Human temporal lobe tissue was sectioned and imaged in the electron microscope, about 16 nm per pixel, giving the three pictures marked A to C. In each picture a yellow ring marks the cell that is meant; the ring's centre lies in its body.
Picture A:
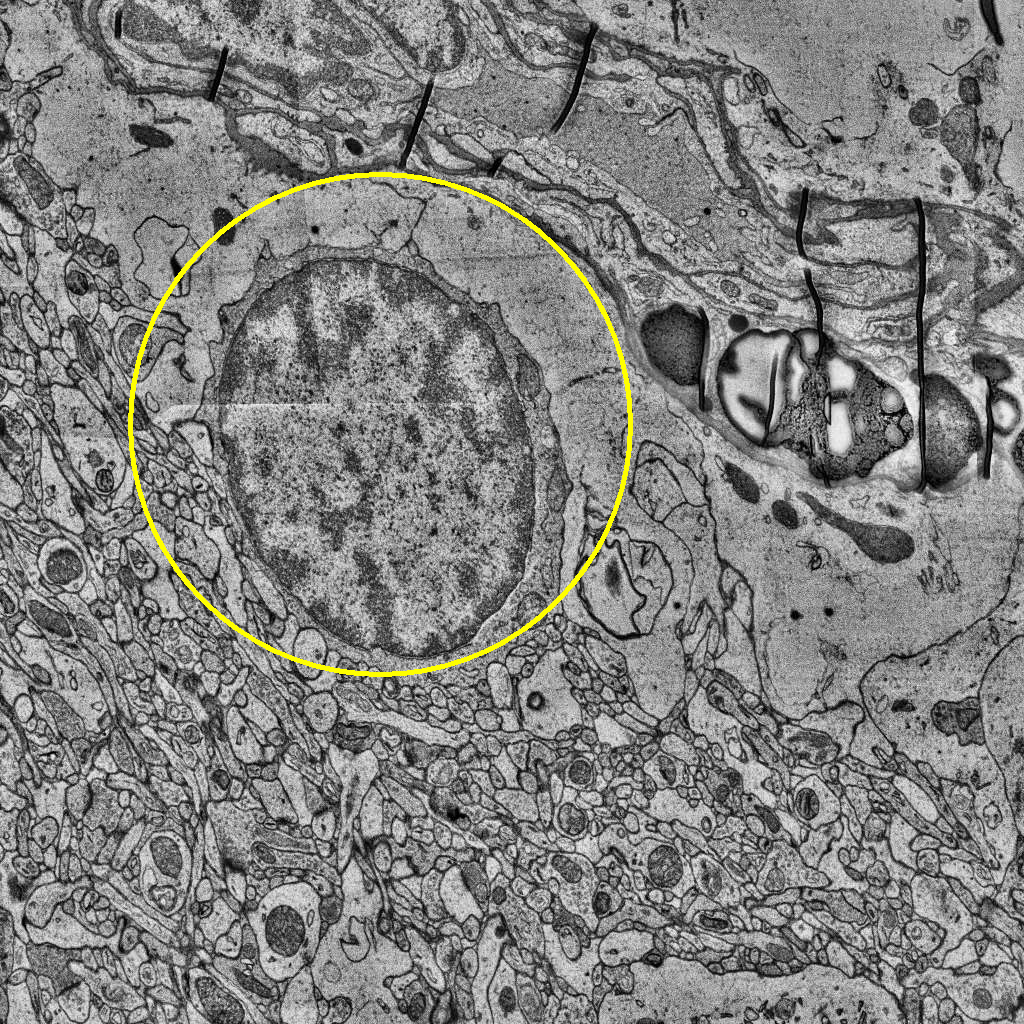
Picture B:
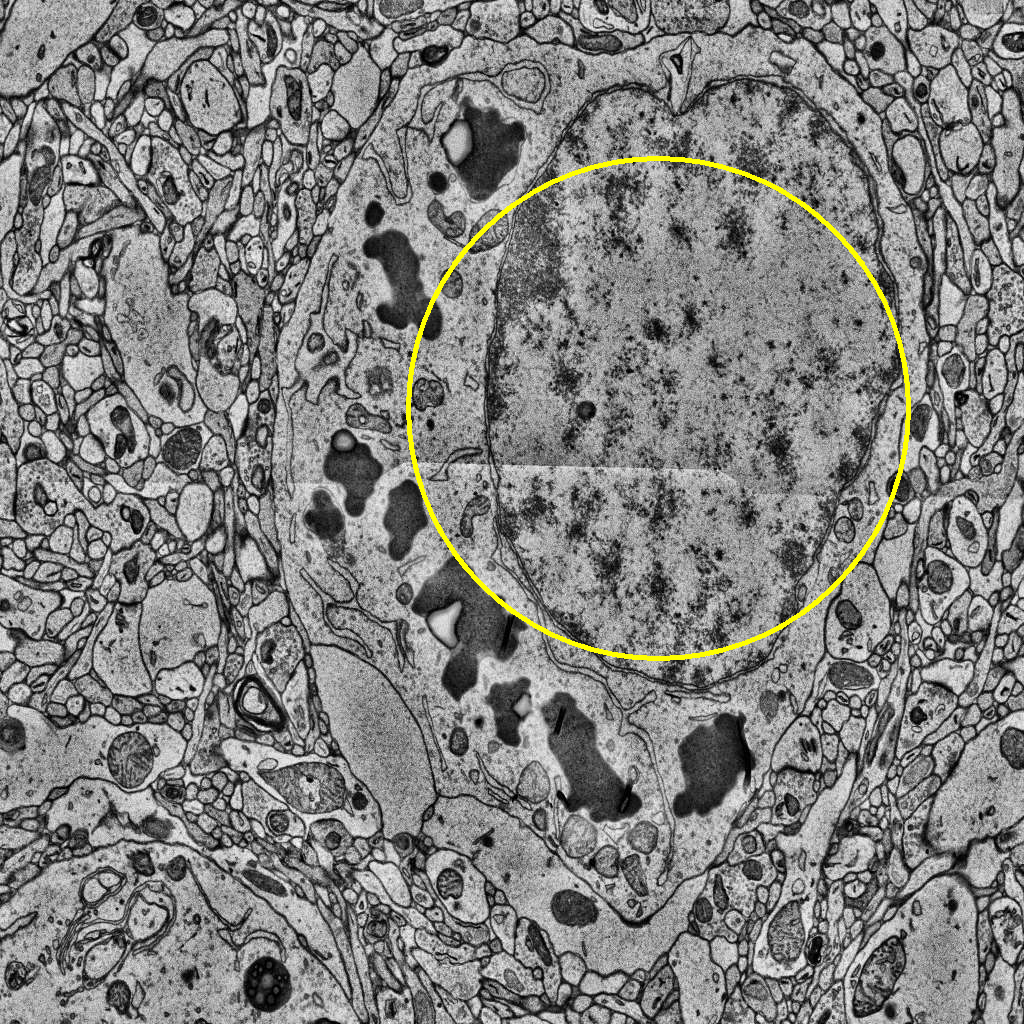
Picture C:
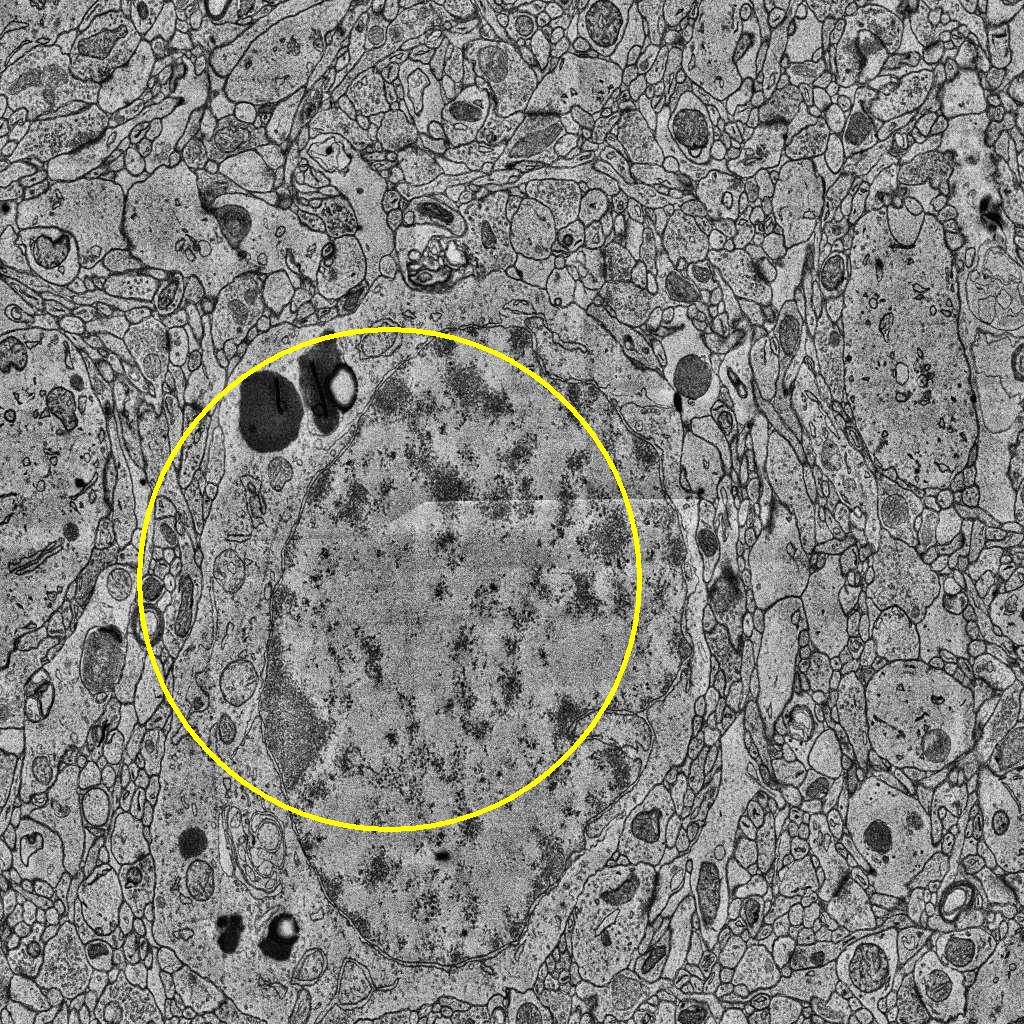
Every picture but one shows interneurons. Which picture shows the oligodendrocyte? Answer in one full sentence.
Picture A shows the oligodendrocyte.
